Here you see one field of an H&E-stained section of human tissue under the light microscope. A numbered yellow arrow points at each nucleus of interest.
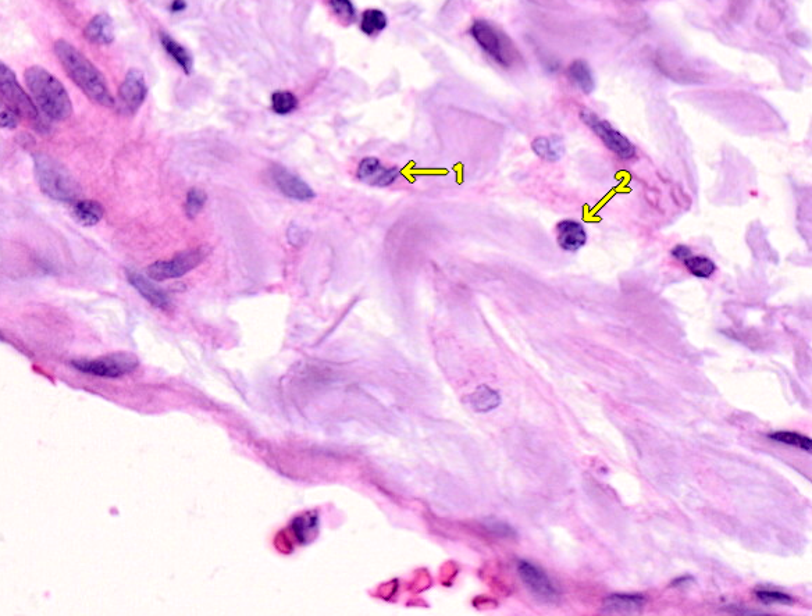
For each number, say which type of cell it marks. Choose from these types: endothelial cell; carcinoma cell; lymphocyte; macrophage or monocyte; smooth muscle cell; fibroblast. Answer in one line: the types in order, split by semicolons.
macrophage or monocyte; lymphocyte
